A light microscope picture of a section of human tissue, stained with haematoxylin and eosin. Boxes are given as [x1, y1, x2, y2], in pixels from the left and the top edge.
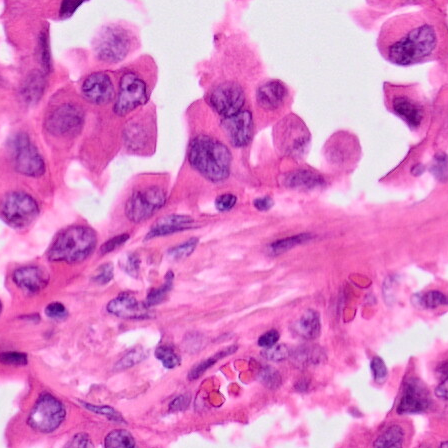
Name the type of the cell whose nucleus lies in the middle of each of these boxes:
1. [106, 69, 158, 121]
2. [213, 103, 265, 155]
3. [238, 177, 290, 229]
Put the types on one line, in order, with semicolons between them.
carcinoma cell; carcinoma cell; lymphocyte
